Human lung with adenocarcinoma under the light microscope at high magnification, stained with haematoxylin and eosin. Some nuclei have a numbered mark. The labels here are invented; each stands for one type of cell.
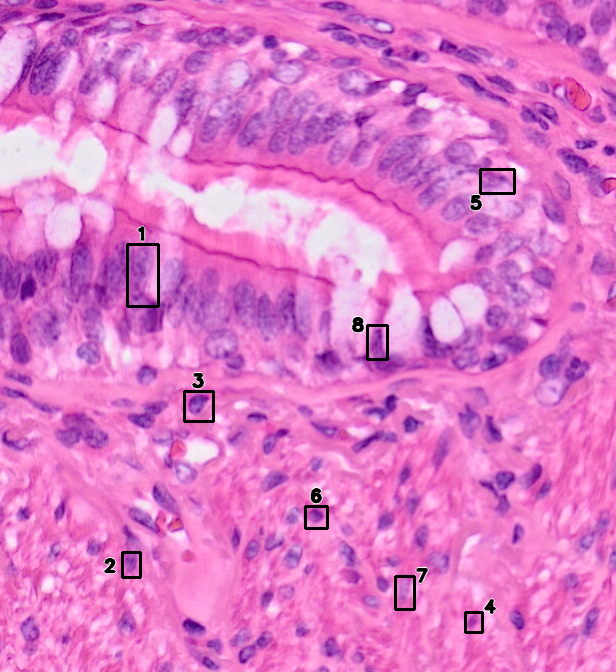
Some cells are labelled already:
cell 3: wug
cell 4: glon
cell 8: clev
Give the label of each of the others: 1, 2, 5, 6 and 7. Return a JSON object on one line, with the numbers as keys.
{"1": "clev", "2": "glon", "5": "clev", "6": "glon", "7": "glon"}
